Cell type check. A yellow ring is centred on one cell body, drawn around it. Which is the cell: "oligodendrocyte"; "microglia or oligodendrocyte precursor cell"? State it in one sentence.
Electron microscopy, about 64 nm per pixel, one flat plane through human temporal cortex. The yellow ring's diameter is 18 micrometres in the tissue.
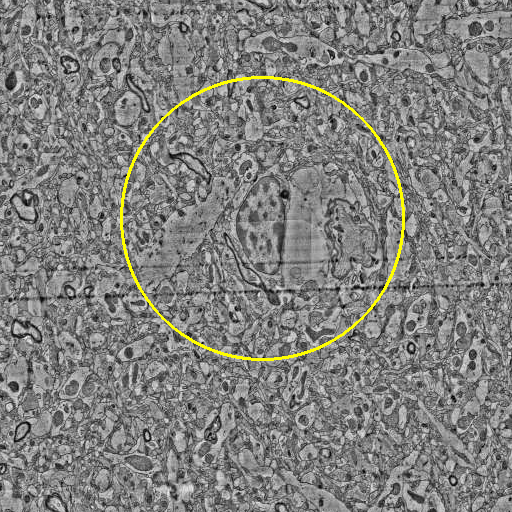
The cell body at the ring's centre belongs to a microglial cell or oligodendrocyte precursor cell.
